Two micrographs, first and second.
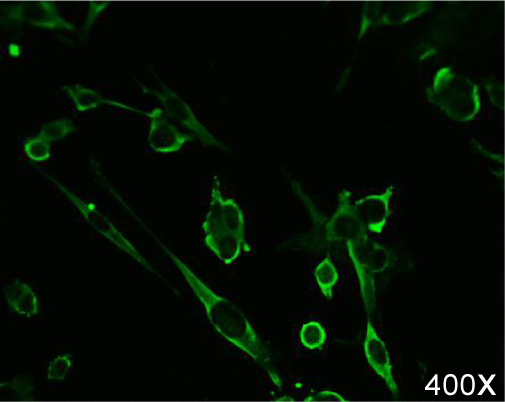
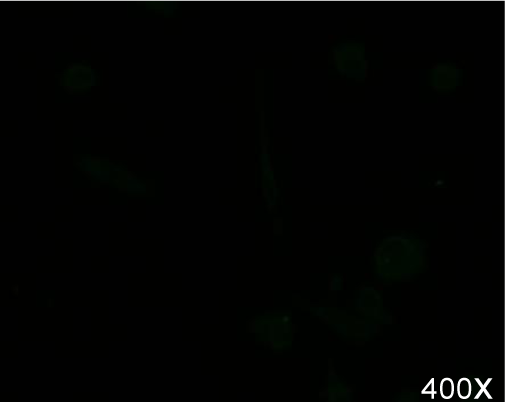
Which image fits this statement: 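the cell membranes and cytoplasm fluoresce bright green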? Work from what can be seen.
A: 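First image: many cells are outlined and filled with bright green fluorescence. Second image: the field is nearly black with only very faint green traces. That points to this answer: the first image.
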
